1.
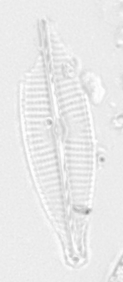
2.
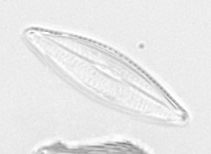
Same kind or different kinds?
Same: Navicula.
